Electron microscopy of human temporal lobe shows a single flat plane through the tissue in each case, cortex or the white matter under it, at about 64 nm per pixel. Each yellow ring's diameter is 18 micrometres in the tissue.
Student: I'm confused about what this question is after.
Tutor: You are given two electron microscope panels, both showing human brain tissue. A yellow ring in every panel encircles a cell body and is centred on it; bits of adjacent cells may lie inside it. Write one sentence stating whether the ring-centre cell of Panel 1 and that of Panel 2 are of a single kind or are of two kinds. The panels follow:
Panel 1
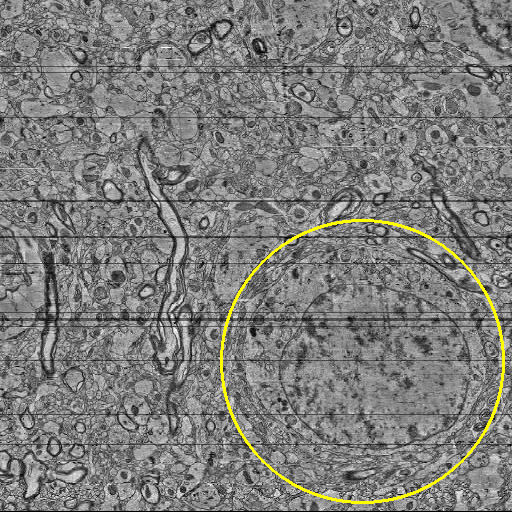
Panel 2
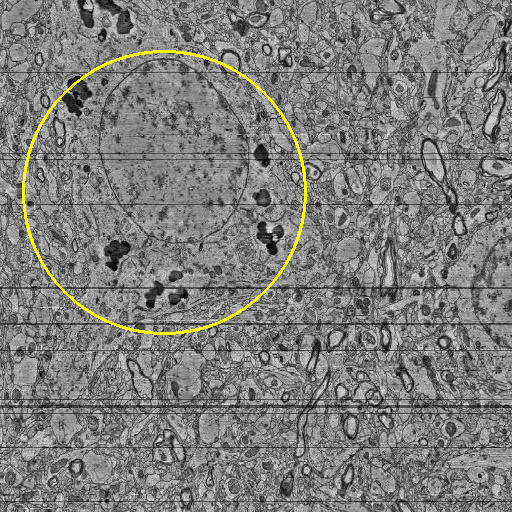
Here, the Panel 1 ring-centre cell and the Panel 2 ring-centre cell are of a single kind.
